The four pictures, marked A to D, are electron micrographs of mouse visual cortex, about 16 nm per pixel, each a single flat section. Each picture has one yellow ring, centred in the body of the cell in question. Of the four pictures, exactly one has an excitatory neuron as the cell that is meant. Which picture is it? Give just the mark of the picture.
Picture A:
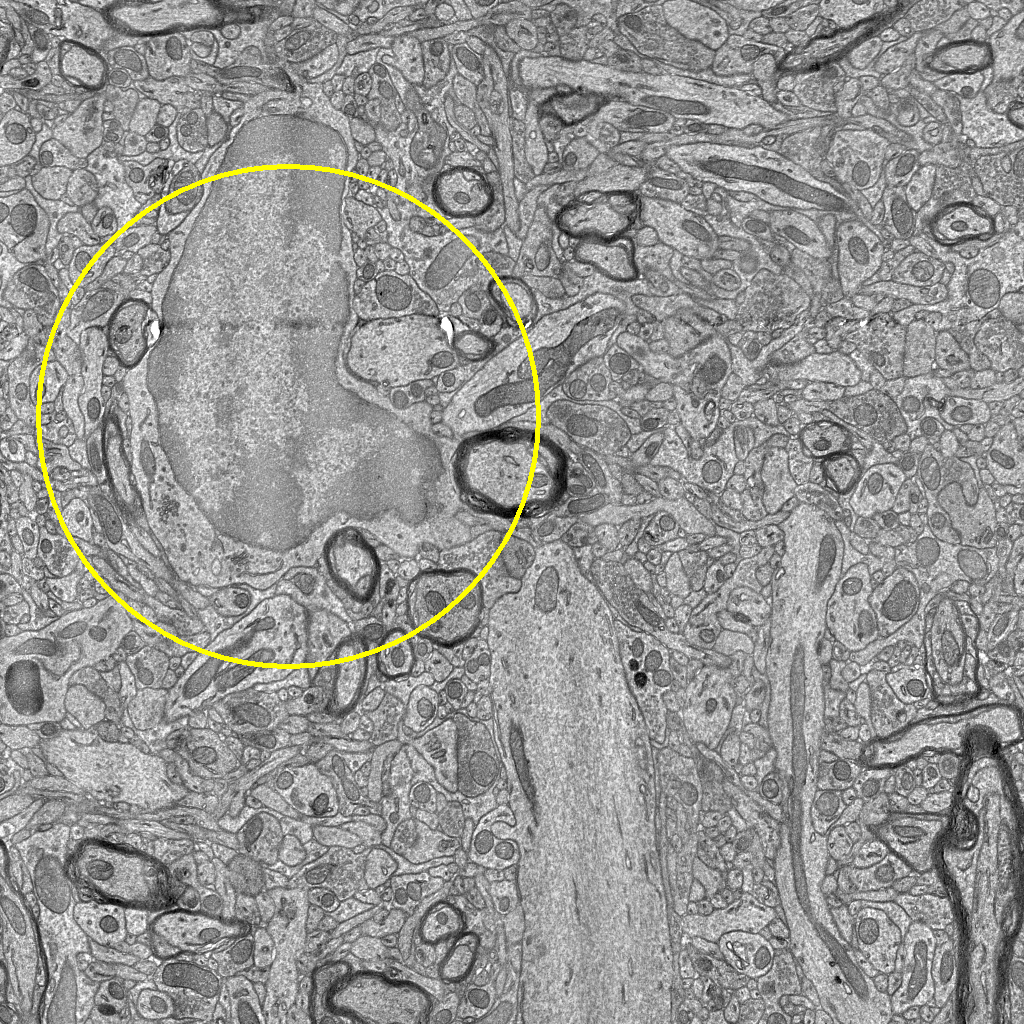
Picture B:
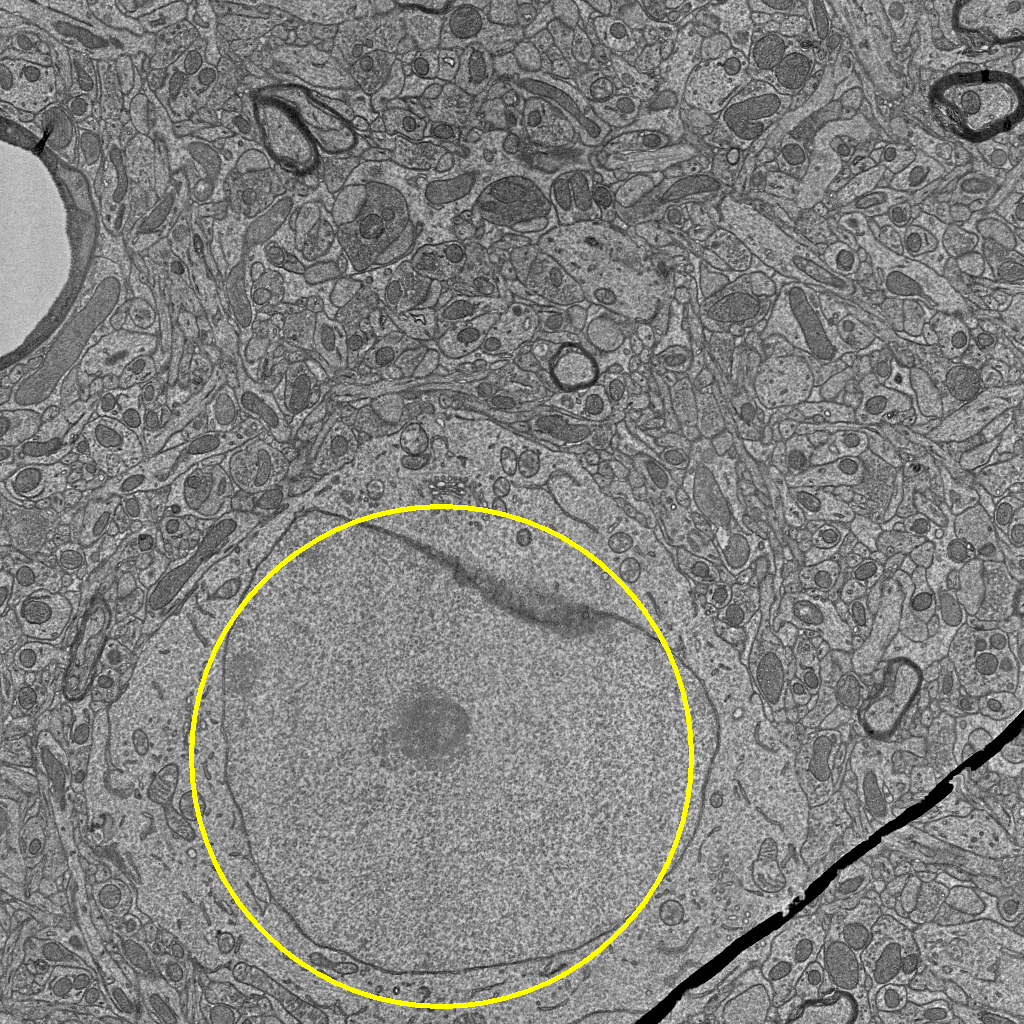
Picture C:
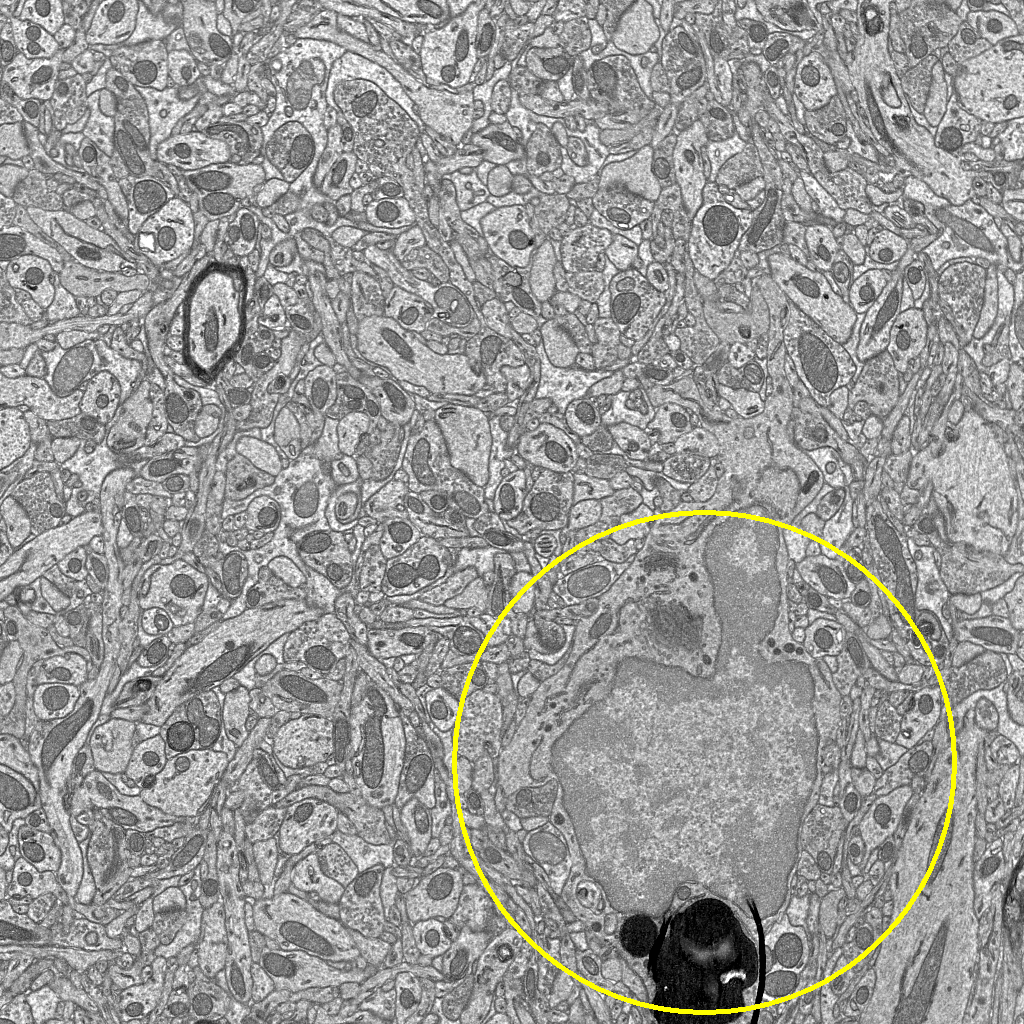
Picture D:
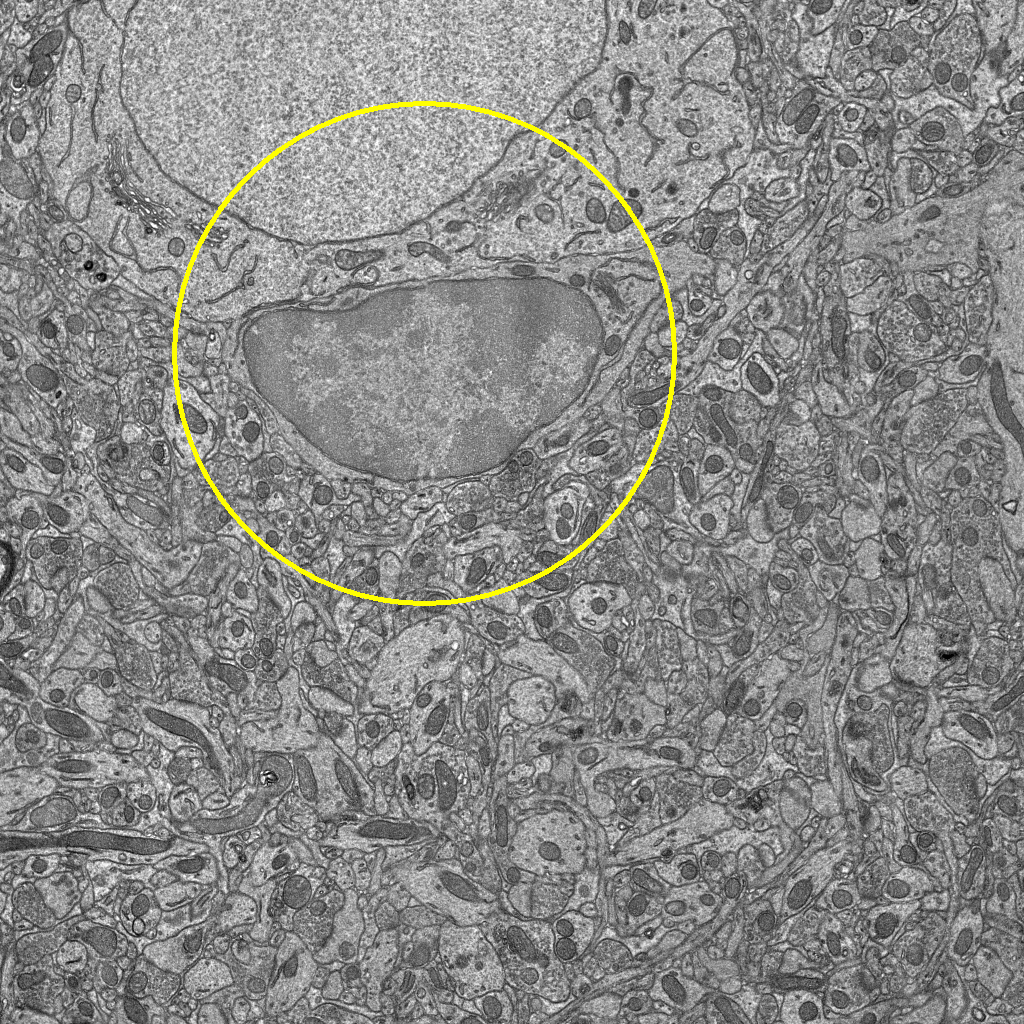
B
